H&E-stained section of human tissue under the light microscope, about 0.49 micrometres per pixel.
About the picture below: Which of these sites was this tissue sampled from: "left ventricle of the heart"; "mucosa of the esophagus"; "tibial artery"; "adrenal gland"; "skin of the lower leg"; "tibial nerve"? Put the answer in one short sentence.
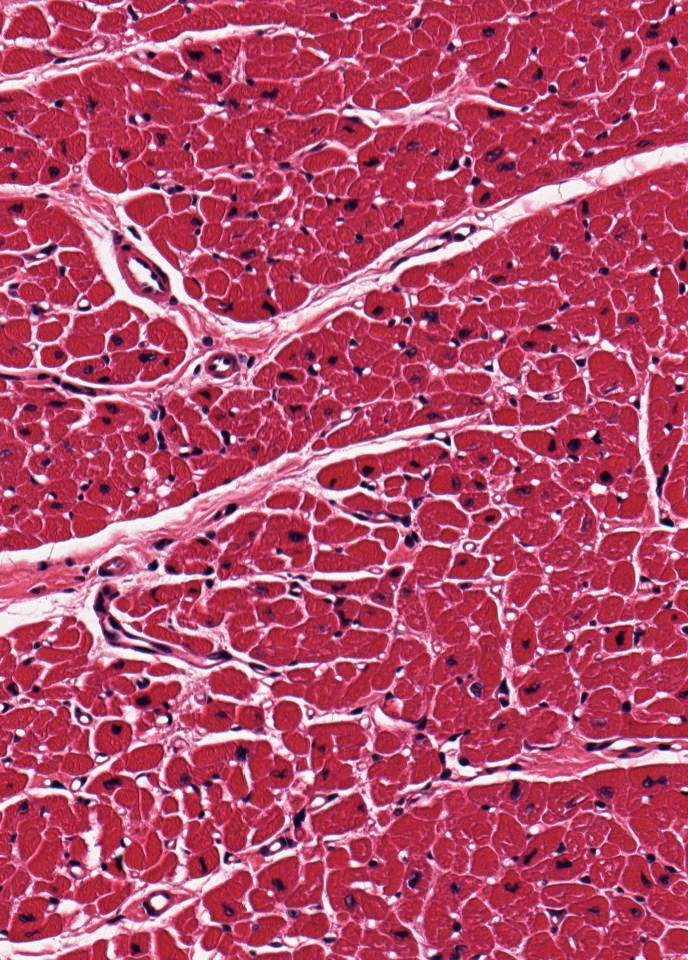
The site this tissue was sampled from is the left ventricle of the heart.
